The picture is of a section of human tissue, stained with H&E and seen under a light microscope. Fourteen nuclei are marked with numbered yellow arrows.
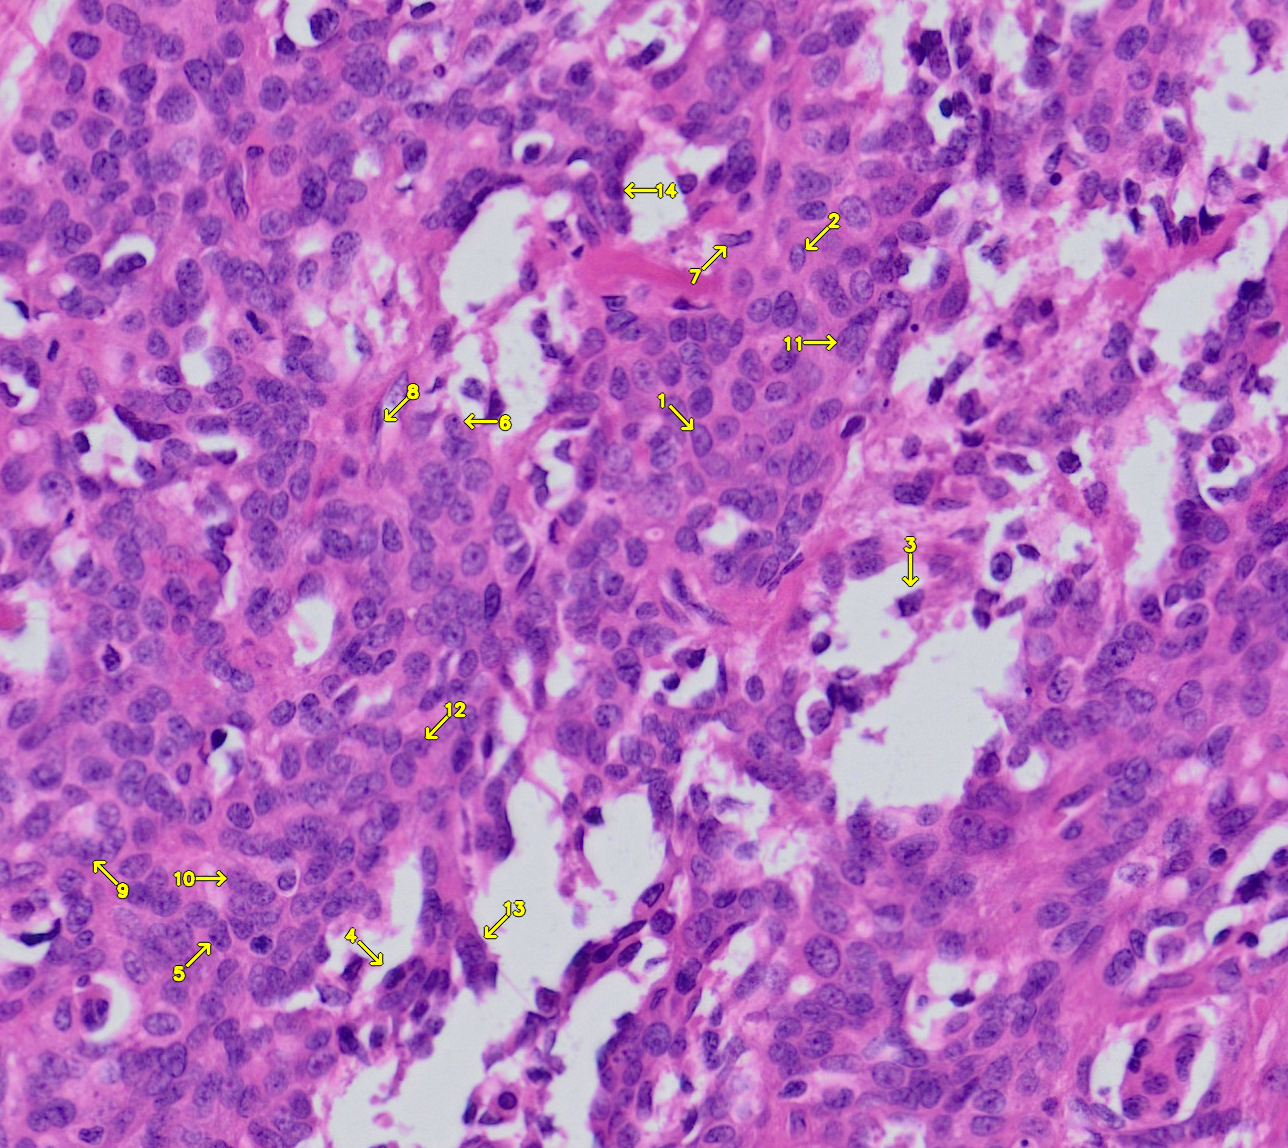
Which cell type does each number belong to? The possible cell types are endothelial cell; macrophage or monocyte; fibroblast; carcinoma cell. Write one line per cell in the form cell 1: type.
cell 1: carcinoma cell
cell 2: endothelial cell
cell 3: macrophage or monocyte
cell 4: carcinoma cell
cell 5: macrophage or monocyte
cell 6: macrophage or monocyte
cell 7: macrophage or monocyte
cell 8: endothelial cell
cell 9: carcinoma cell
cell 10: carcinoma cell
cell 11: carcinoma cell
cell 12: carcinoma cell
cell 13: carcinoma cell
cell 14: carcinoma cell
